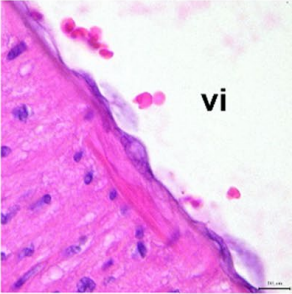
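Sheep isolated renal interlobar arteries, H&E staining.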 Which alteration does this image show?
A: Vacuolated endothelium.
